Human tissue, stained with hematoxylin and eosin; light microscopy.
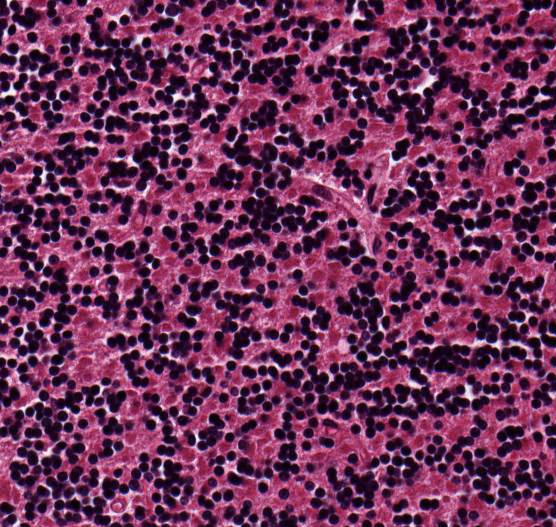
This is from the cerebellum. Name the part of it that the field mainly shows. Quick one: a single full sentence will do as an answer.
This section of human tissue is of the part termed granular layer.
